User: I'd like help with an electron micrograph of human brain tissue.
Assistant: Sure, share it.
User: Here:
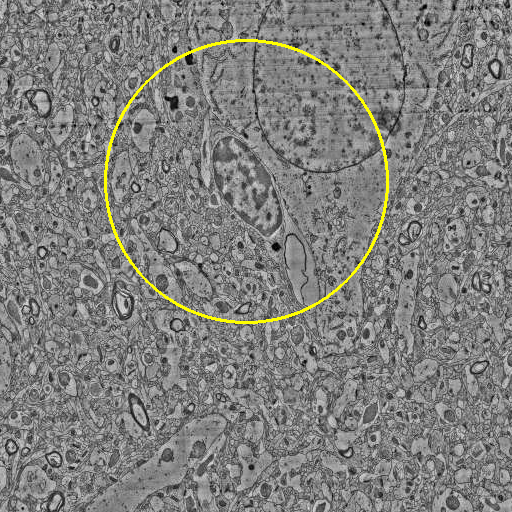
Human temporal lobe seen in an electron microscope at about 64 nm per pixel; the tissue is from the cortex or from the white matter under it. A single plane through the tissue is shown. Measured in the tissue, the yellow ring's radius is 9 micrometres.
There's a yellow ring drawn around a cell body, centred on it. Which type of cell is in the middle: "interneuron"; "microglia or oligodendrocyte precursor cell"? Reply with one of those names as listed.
microglia or oligodendrocyte precursor cell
